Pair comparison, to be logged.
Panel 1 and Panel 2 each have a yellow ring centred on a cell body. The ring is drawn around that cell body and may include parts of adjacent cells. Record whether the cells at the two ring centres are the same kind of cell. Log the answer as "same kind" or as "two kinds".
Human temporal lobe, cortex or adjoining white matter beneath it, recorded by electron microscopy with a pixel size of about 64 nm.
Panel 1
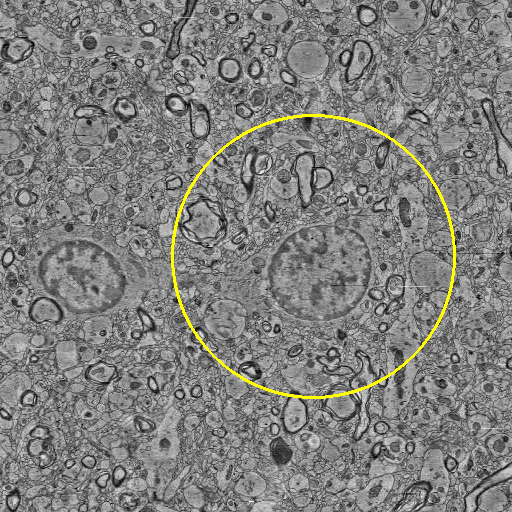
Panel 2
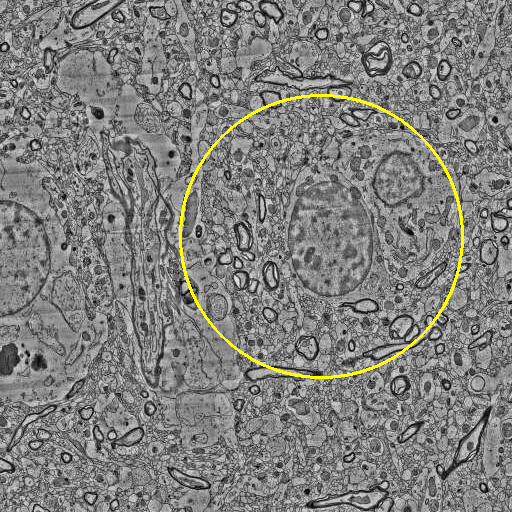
same kind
